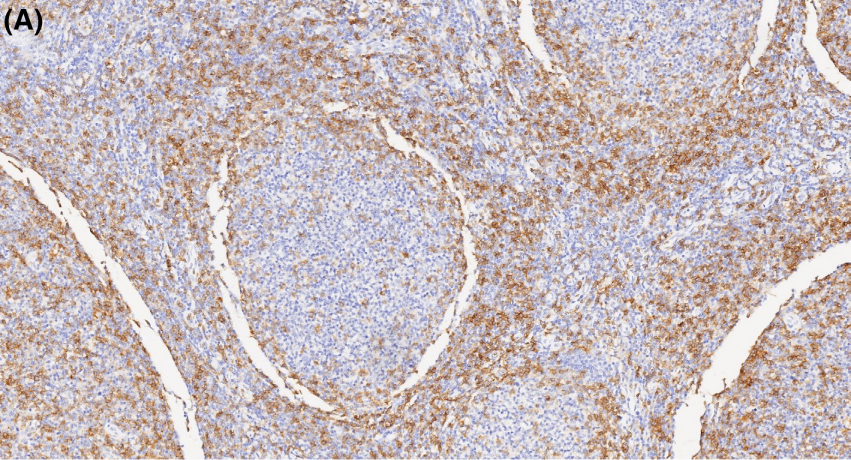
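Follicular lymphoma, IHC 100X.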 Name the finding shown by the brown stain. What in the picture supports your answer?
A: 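Perifollicular pattern. A pale, rounded nodule in the centre is mostly blue inside. Brown-stained cells crowd the band surrounding the nodule and the tissue between nodules.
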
